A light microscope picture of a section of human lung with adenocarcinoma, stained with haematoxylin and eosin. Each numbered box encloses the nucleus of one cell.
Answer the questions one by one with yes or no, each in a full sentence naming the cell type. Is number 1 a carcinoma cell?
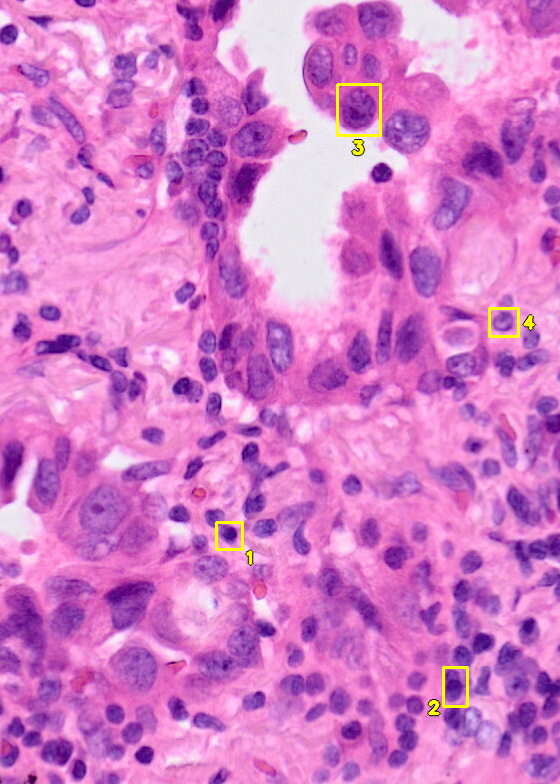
No, the one with number 1 is a lymphocyte, not a carcinoma cell.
